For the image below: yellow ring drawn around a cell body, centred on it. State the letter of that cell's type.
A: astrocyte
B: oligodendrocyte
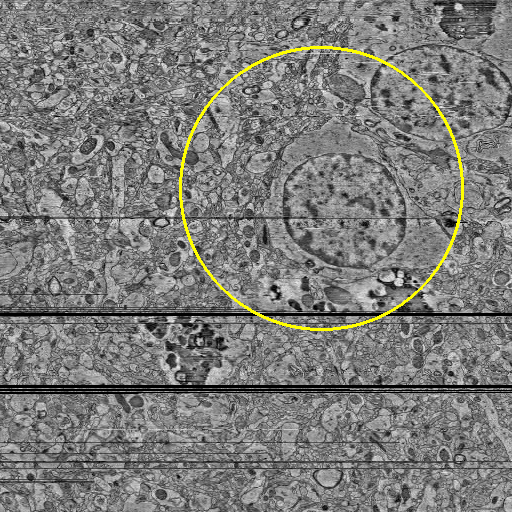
A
